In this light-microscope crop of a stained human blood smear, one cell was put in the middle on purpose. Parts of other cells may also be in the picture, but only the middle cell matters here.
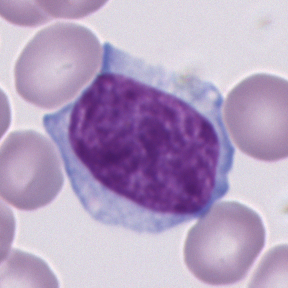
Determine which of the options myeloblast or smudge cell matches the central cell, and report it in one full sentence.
The crop's centre is taken up by a myeloblast.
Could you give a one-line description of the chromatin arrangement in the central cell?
The chromatin of this one is coarsely clumped.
